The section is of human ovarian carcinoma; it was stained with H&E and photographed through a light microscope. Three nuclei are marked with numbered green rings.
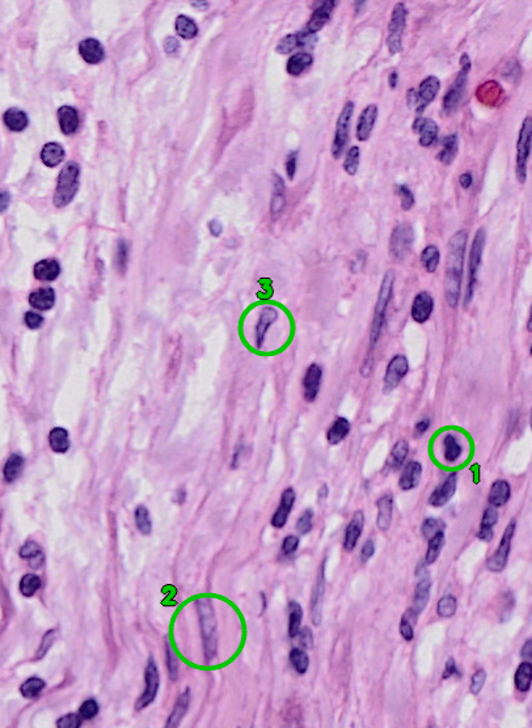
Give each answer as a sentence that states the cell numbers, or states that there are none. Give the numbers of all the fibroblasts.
Cell 2 is the only numbered cell that is a fibroblast.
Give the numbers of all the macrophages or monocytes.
Only the cell with number 3 is a macrophage or monocyte.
